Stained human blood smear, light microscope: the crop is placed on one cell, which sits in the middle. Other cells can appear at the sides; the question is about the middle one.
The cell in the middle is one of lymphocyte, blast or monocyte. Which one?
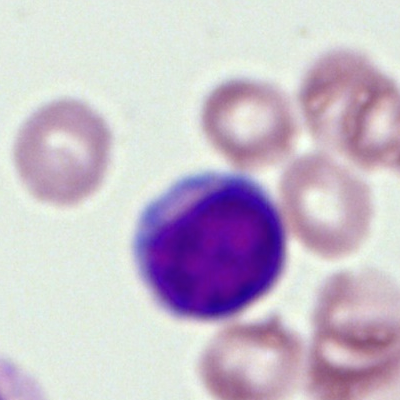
lymphocyte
